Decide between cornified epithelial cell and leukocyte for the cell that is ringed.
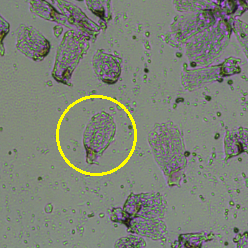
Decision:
I take the ringed cell for a cornified epithelial cell.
